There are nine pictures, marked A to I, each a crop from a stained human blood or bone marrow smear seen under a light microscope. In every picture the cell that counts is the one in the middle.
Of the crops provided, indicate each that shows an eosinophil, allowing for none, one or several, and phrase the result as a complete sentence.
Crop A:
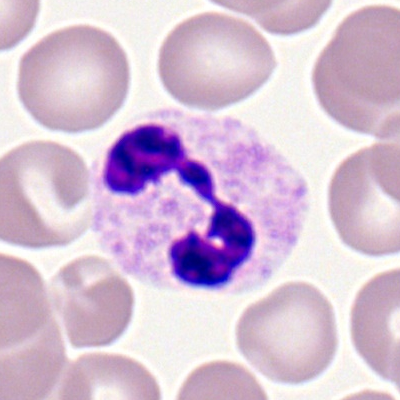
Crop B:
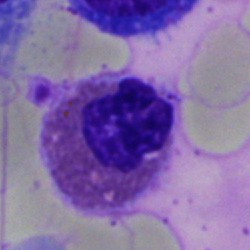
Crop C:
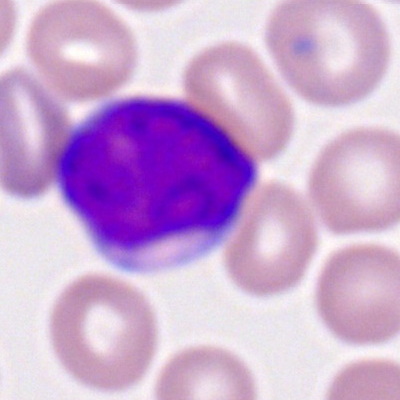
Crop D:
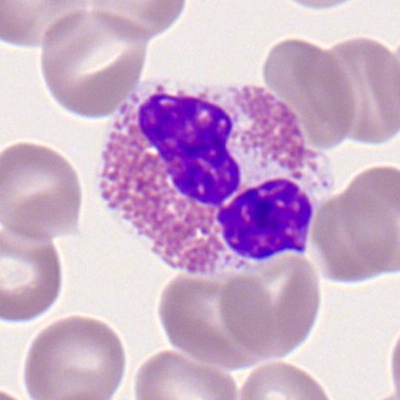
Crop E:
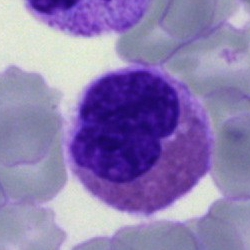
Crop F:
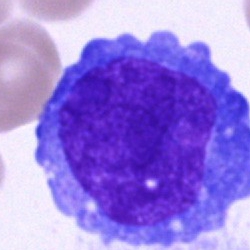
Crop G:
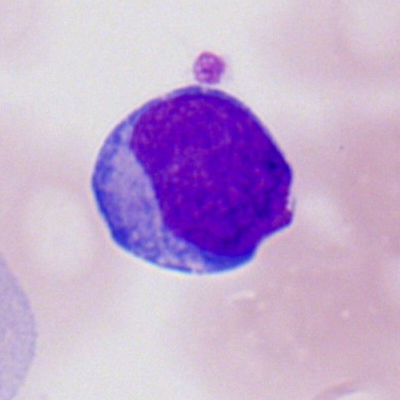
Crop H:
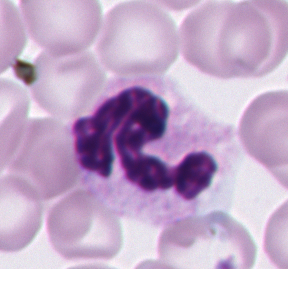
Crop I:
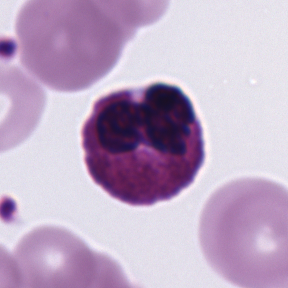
Depicted at the centre of crops B, D, E and I are eosinophils.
